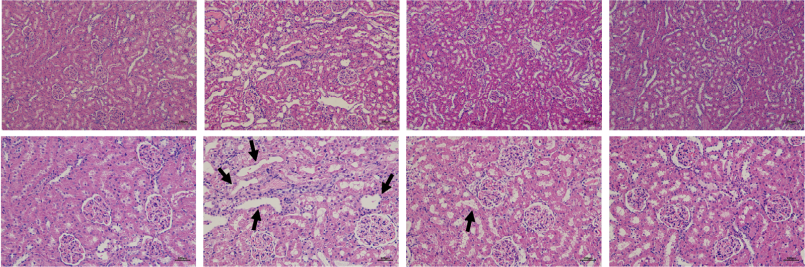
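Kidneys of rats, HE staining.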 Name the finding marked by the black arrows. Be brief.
Dilated renal tubules.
